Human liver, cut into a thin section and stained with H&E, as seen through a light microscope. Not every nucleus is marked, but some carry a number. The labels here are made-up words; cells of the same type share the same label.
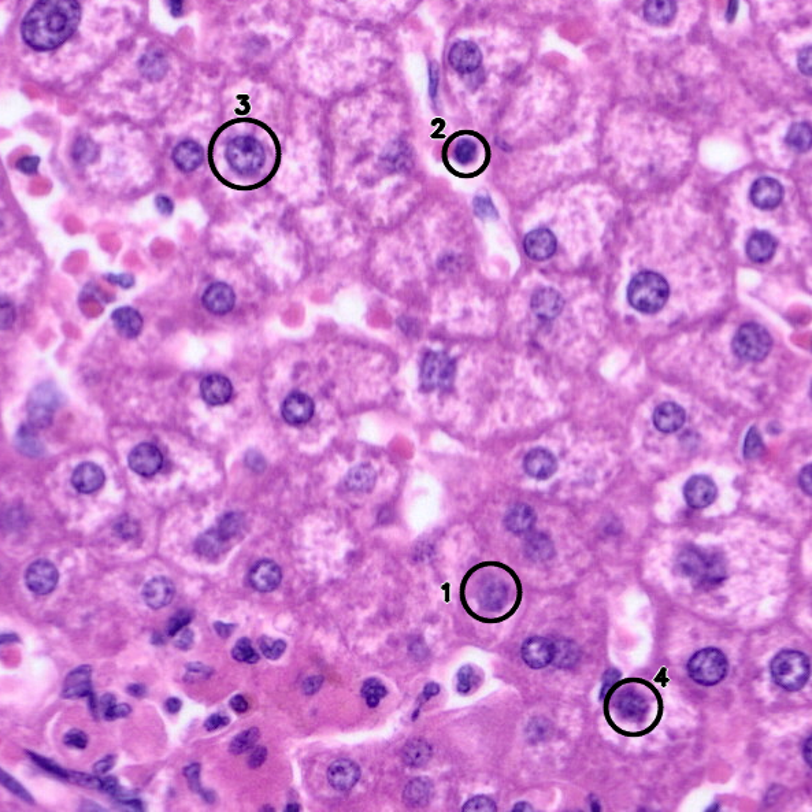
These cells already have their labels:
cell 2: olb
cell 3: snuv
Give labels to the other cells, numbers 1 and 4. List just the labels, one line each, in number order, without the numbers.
snuv
snuv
